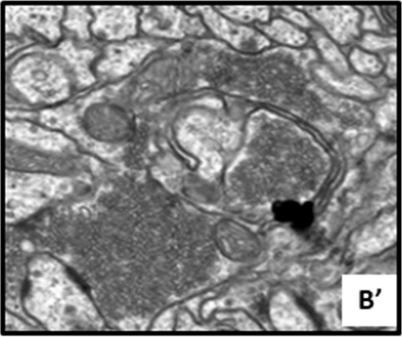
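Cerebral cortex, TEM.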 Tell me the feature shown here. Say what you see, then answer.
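Large packed clusters of small uniform round vesicles fill much of the panel. Curved membranes partly surround the vesicle clusters. That points to this answer: clusters of synaptic vesicles.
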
